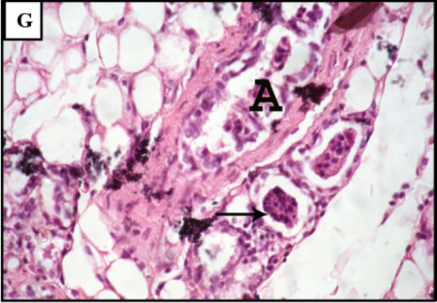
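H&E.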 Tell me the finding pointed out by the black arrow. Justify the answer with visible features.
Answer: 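Epithelial cell debris. The arrow points to a cluster of detached cells lying free inside a lumen. A clear gap separates the cluster from the lining wall.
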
